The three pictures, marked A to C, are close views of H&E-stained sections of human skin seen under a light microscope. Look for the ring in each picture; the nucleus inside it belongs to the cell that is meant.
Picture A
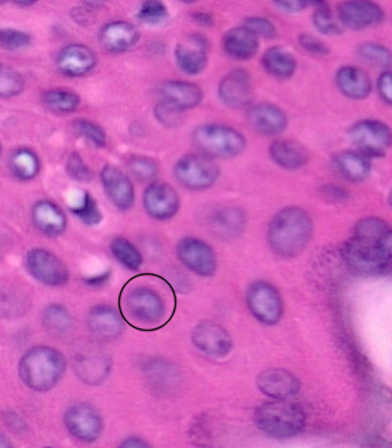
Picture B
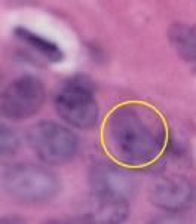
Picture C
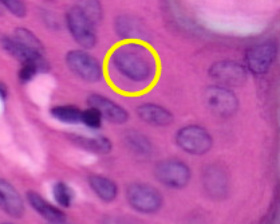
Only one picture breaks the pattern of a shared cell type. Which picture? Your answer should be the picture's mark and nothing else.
B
